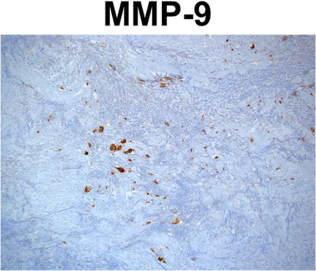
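Scattered single cells within the stroma show brown cytoplasmic staining. Some of the stained cells are somewhat larger and more rounded, while most stromal nuclei remain unstained and blue.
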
